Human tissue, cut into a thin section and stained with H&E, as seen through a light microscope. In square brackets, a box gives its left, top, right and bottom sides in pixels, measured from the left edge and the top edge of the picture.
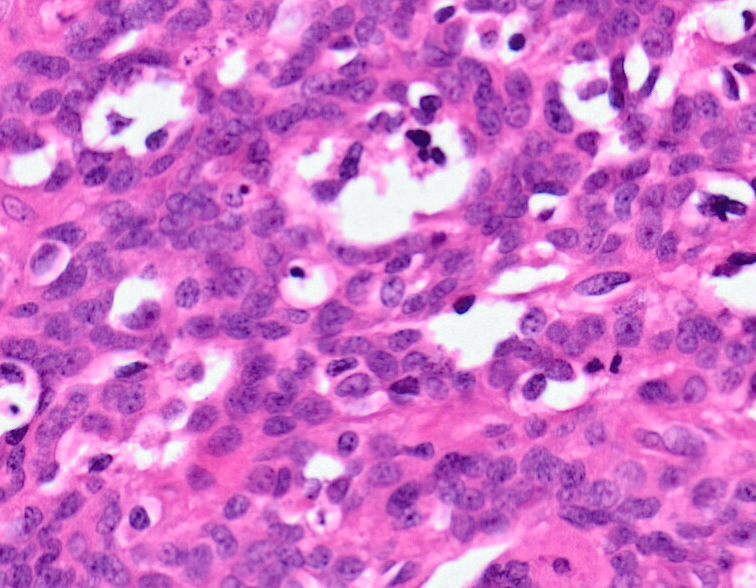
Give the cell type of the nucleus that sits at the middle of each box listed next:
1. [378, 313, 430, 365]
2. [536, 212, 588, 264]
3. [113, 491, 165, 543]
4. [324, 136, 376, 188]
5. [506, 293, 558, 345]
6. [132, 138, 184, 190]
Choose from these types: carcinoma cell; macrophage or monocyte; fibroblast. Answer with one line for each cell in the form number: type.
1: macrophage or monocyte
2: carcinoma cell
3: macrophage or monocyte
4: macrophage or monocyte
5: macrophage or monocyte
6: carcinoma cell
